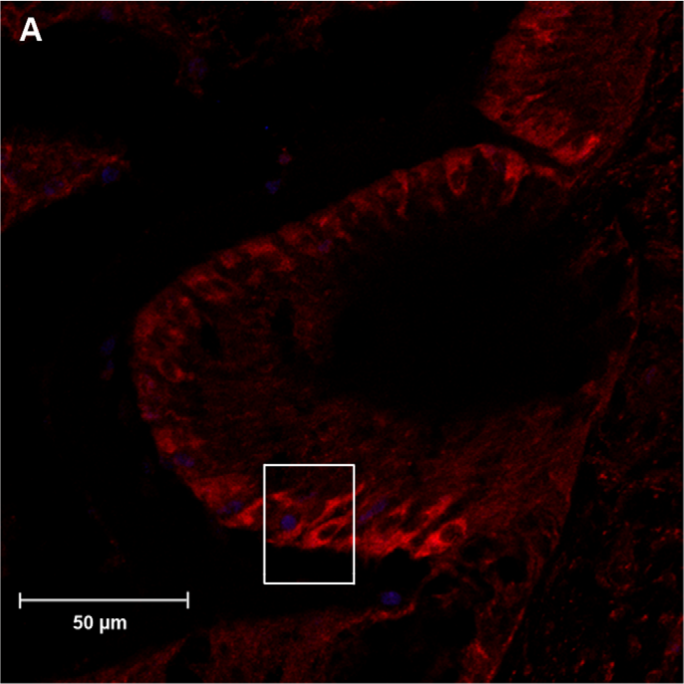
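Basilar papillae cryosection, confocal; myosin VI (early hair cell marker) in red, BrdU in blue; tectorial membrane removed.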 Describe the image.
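The epithelium forms a curved band around a large dark space, and within it many elongated, flask-like cells stand side by side. The red labeling is strongest in a cluster of cells along the lower edge of the band, which a white rectangle frames. A few small blue nuclei are scattered, one of them inside the framed cluster among the red cells.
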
